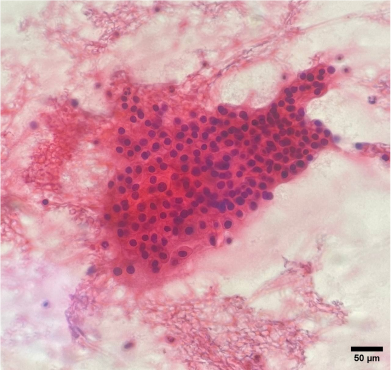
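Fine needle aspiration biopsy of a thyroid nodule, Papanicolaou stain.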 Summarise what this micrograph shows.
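The nuclei are dark blue-purple, round to oval, and crowded so closely that many overlap one another. The cytoplasm between them stains pink to red and merges into a dense mass, so individual cell borders are hard to see. At the edges of the cluster a few cells stand more apart, and the group has an irregular, jagged outline. Around it lies a pale background with wispy pink strands.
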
